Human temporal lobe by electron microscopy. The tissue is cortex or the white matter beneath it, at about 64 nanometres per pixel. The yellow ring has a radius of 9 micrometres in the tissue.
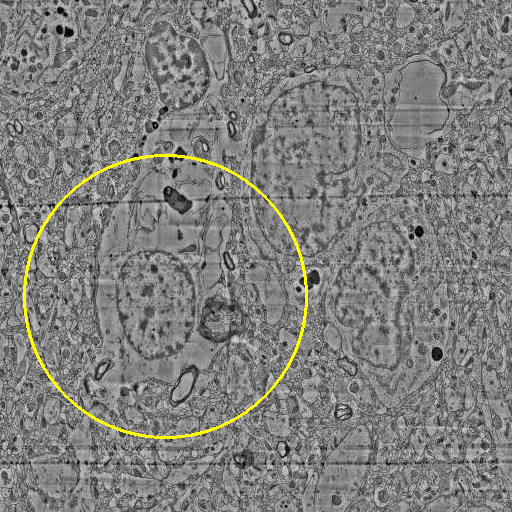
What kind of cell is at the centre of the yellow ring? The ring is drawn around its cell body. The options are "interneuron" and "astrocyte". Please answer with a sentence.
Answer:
The yellow ring marks the cell body of an astrocyte.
